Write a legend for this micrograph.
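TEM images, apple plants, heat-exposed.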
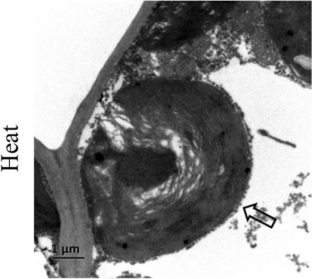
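This electron micrograph shows part of a leaf mesophyll cell dominated by a large, rounded chloroplast on the left. The chloroplast is pressed against the thin, grey cell wall, with only a narrow rim of cytoplasm around it. To the right lies a large, pale, nearly empty vacuole, and small dark granules are scattered at the chloroplast edge. An arrow points at the margin of this chloroplast.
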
